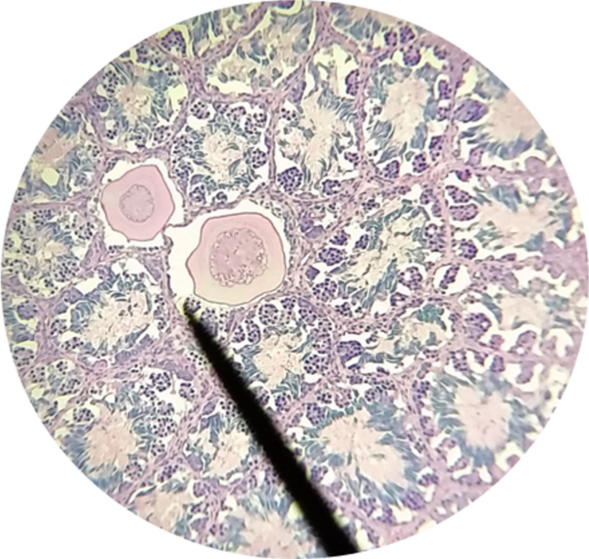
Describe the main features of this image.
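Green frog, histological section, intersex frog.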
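The section shows testis tissue divided into many compartments by thin pink walls. The compartments are filled with clusters of small, dark purple, rounded cells and with bluish streaming bundles of elongated cells. Near the centre, out of place among them, lie two very large round oocytes, each with pale pink cytoplasm and a large round nucleus with many small dark dots at its rim, set within clear spaces.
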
